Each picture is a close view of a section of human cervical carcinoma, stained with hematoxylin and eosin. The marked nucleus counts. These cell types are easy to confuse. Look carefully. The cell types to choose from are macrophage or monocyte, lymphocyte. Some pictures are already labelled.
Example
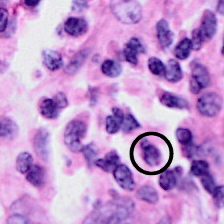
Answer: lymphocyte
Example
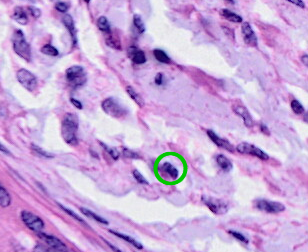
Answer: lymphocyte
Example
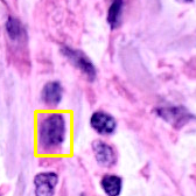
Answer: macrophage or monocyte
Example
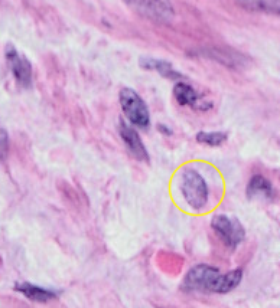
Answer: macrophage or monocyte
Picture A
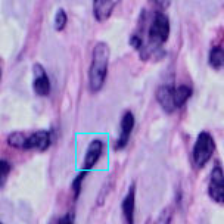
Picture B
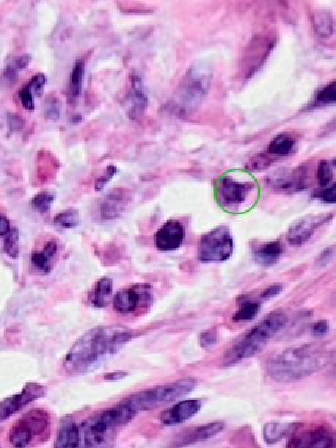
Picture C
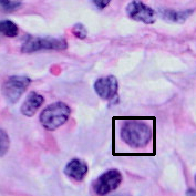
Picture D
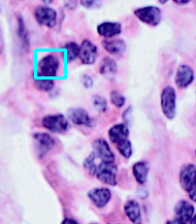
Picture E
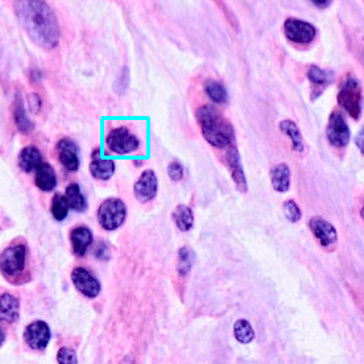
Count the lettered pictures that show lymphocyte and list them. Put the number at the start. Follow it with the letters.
3: A, D, E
